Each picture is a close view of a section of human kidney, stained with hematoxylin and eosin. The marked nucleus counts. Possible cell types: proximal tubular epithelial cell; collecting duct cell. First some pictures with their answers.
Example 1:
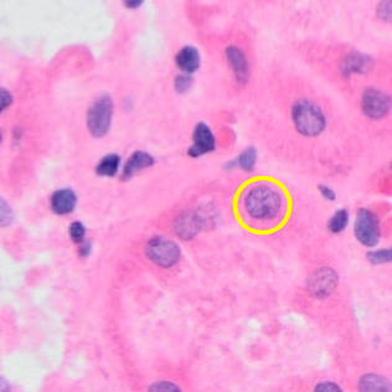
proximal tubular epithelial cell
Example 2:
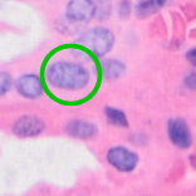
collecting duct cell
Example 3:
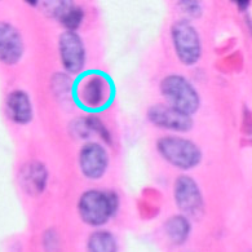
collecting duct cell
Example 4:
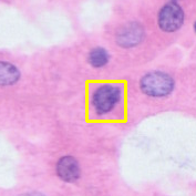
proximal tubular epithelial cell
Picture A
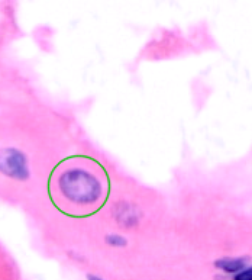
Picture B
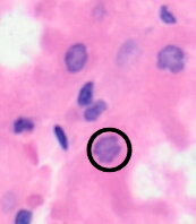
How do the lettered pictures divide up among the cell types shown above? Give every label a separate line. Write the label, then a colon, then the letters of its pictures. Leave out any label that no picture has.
proximal tubular epithelial cell: A, B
